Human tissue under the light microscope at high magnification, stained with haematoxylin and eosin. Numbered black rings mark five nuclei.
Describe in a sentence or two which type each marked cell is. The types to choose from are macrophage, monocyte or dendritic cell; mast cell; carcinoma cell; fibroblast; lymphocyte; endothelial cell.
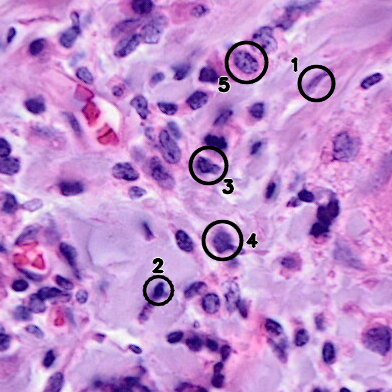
Cell 1 is a fibroblast. Cells 2, 3 and 4 are lymphocytes. Cell 5 is a mast cell.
